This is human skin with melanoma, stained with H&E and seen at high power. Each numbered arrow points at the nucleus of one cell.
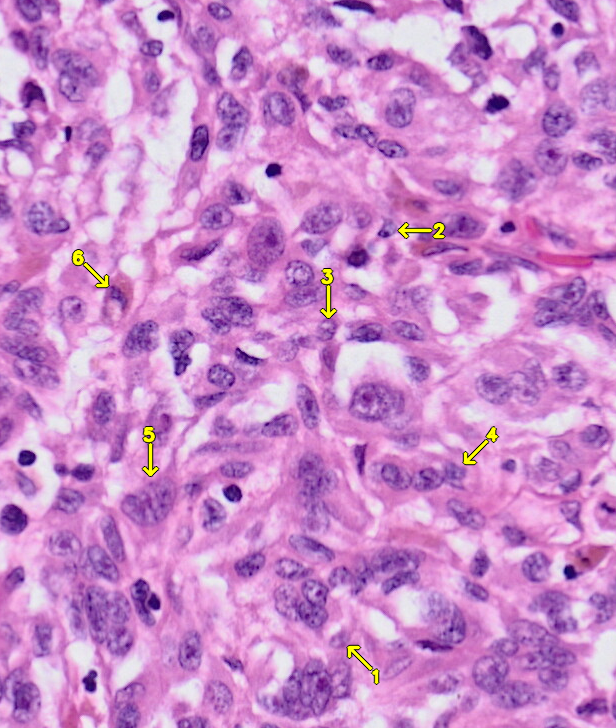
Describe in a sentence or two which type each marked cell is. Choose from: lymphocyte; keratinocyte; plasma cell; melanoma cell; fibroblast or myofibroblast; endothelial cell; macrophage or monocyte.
Cell 1 is a melanoma cell, cell 2 is a lymphocyte, cell 3 is a melanoma cell, cell 4 is a melanoma cell, cell 5 is a melanoma cell and cell 6 is a macrophage or monocyte.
